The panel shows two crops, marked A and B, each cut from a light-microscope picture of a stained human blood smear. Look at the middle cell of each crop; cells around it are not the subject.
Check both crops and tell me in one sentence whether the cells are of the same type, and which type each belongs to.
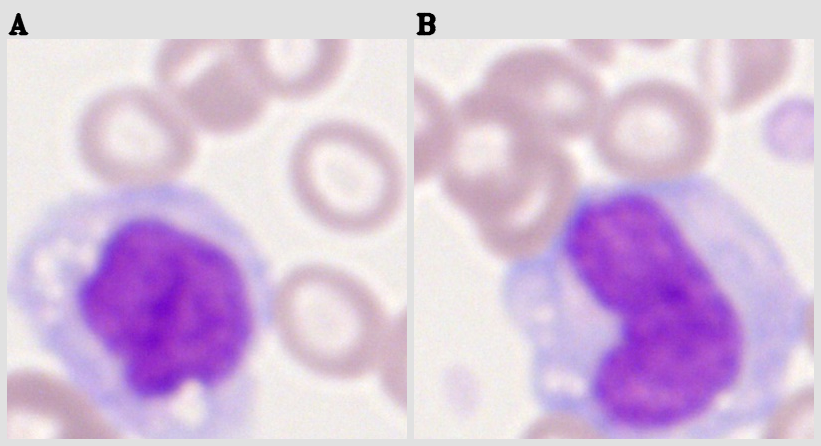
Yes, it is monocytes that sit at the centre of both crops.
